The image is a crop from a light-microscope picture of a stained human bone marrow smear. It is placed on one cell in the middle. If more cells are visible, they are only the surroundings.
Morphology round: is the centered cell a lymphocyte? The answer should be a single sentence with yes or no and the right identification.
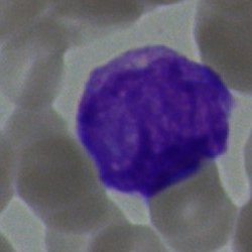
No, that guess of a lymphocyte misses; the central cell is a blast.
